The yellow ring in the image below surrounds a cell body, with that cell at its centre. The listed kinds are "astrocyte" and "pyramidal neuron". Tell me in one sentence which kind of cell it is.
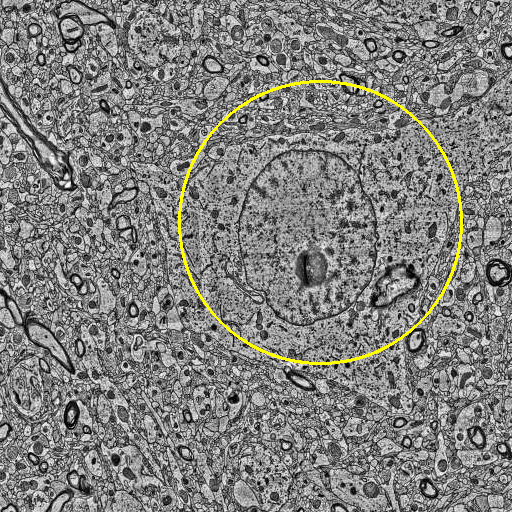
The centre of the ring holds a pyramidal neuron.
